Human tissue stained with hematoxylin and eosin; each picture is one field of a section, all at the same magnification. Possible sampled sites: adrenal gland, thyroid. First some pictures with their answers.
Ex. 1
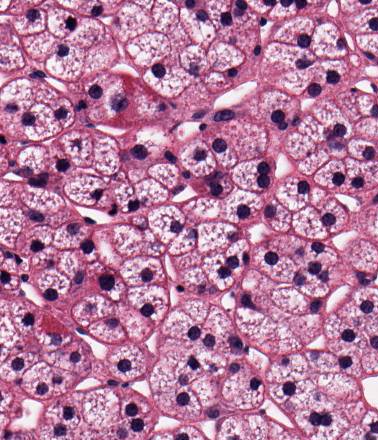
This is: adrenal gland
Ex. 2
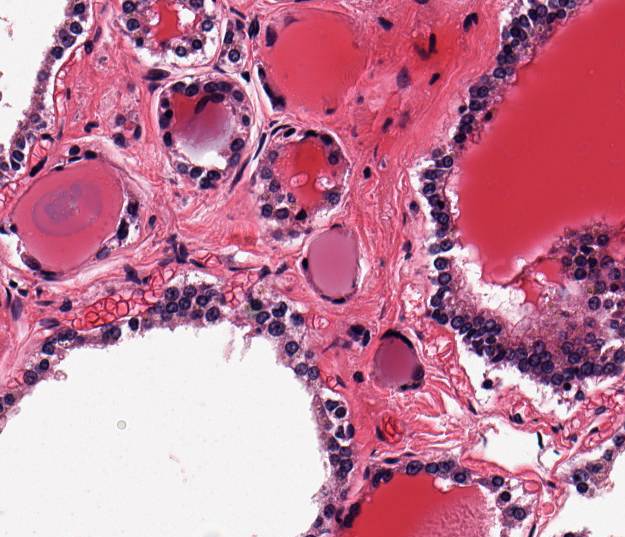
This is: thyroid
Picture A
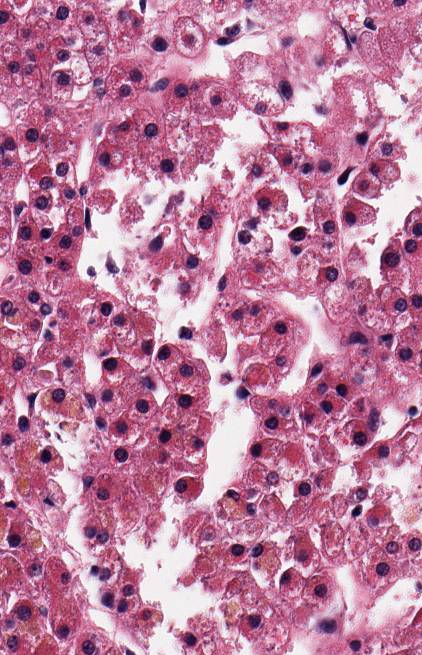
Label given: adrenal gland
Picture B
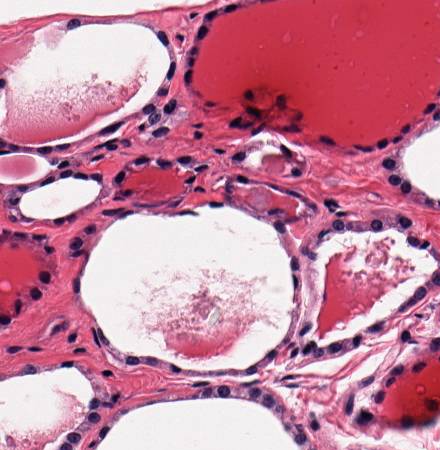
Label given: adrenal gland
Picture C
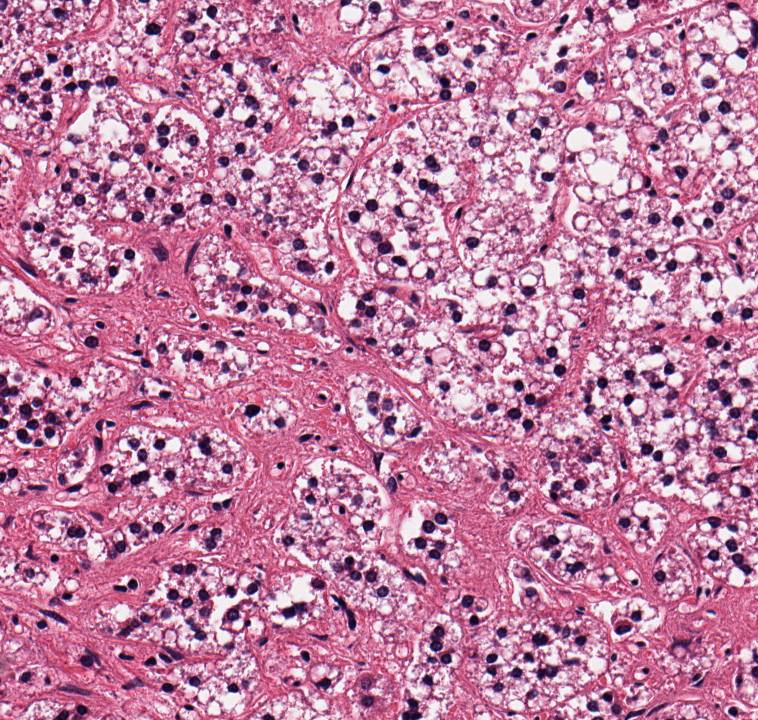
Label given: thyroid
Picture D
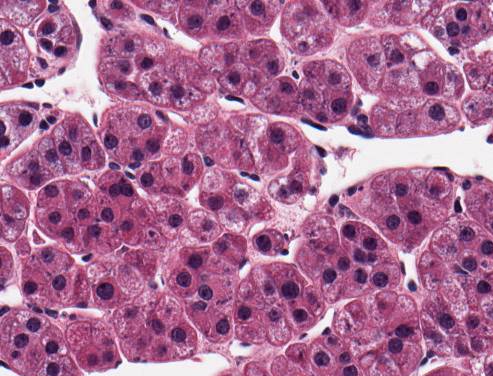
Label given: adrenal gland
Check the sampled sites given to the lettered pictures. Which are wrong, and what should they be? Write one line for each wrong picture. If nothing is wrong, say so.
B: thyroid, not adrenal gland
C: adrenal gland, not thyroid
